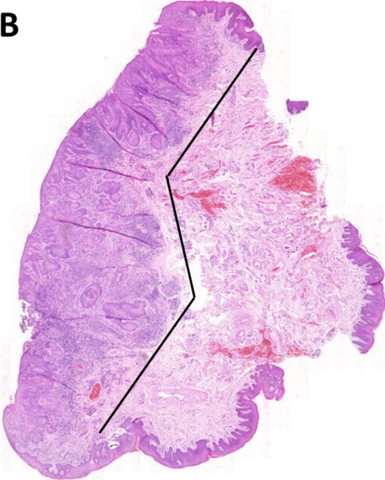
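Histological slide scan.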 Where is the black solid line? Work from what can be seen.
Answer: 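The line runs along the border between the dense purple tumor mass and the pale loose stroma. So: invasive tumor front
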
